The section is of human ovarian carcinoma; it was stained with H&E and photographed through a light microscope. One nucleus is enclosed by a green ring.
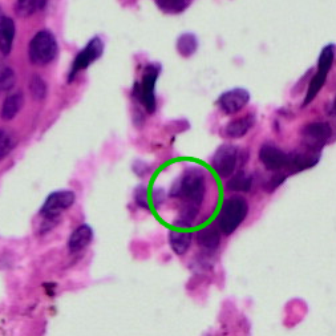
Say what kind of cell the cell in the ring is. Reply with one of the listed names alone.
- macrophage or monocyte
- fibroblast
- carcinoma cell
carcinoma cell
